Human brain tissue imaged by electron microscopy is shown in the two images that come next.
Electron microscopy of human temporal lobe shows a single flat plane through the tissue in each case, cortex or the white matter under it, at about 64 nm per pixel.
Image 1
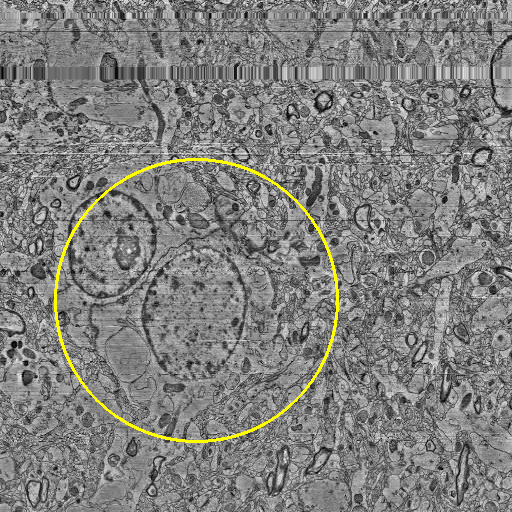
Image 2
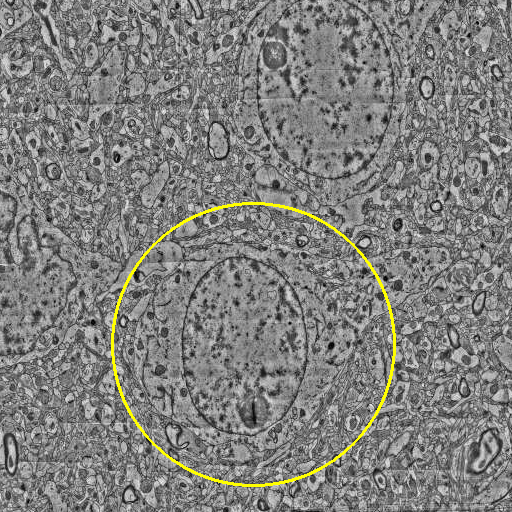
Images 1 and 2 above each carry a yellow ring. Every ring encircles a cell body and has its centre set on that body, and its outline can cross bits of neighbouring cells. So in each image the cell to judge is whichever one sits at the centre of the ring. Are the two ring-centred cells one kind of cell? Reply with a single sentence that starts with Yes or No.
No, in Image 1 and Image 2 the cells at the centres of their rings fall into two types.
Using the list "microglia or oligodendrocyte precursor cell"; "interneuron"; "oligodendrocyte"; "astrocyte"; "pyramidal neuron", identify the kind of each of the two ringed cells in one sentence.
The first is an astrocyte and the second is a pyramidal neuron.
